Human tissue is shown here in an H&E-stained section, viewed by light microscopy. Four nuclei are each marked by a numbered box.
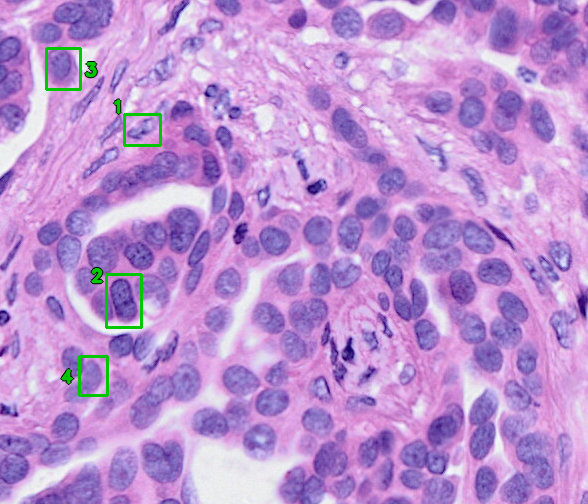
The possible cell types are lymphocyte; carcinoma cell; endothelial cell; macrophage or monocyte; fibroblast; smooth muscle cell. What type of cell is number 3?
carcinoma cell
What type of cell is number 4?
carcinoma cell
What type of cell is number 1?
fibroblast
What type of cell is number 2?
carcinoma cell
